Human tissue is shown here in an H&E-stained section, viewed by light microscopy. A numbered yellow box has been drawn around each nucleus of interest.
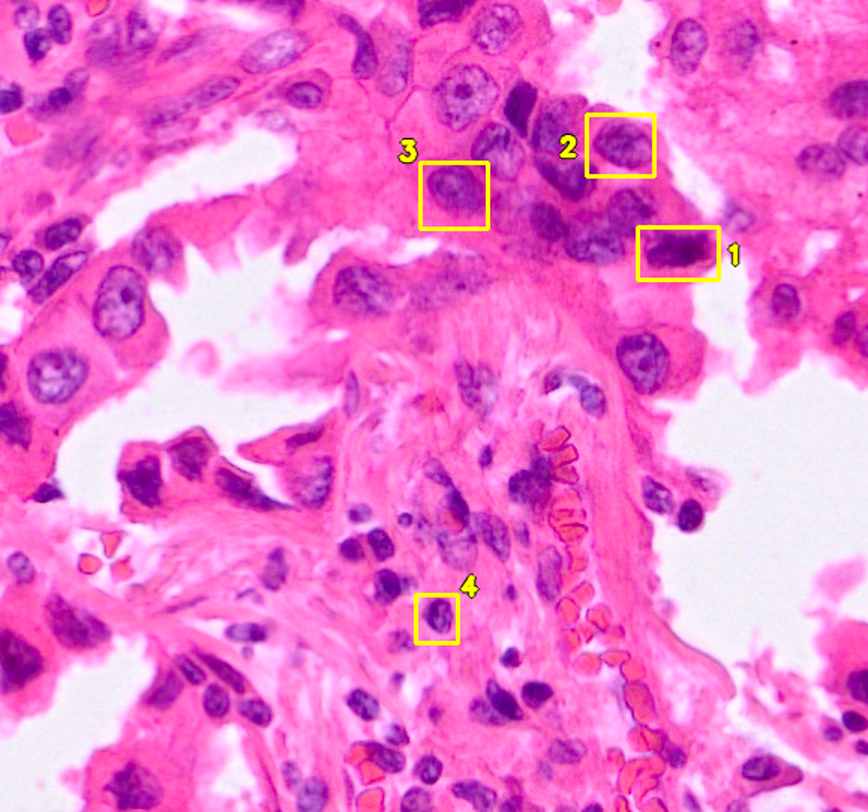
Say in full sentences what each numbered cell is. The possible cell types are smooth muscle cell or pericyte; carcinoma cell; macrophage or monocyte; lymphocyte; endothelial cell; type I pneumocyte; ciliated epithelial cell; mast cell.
Cell 1 is a carcinoma cell, cell 2 is a carcinoma cell, cell 3 is a carcinoma cell and cell 4 is a lymphocyte.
